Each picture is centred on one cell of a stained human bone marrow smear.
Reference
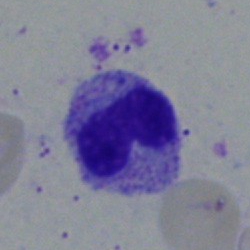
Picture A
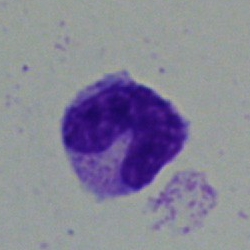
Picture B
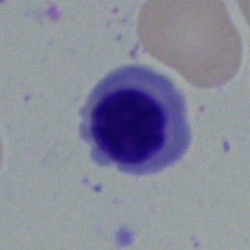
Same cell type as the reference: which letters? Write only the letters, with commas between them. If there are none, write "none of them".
A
